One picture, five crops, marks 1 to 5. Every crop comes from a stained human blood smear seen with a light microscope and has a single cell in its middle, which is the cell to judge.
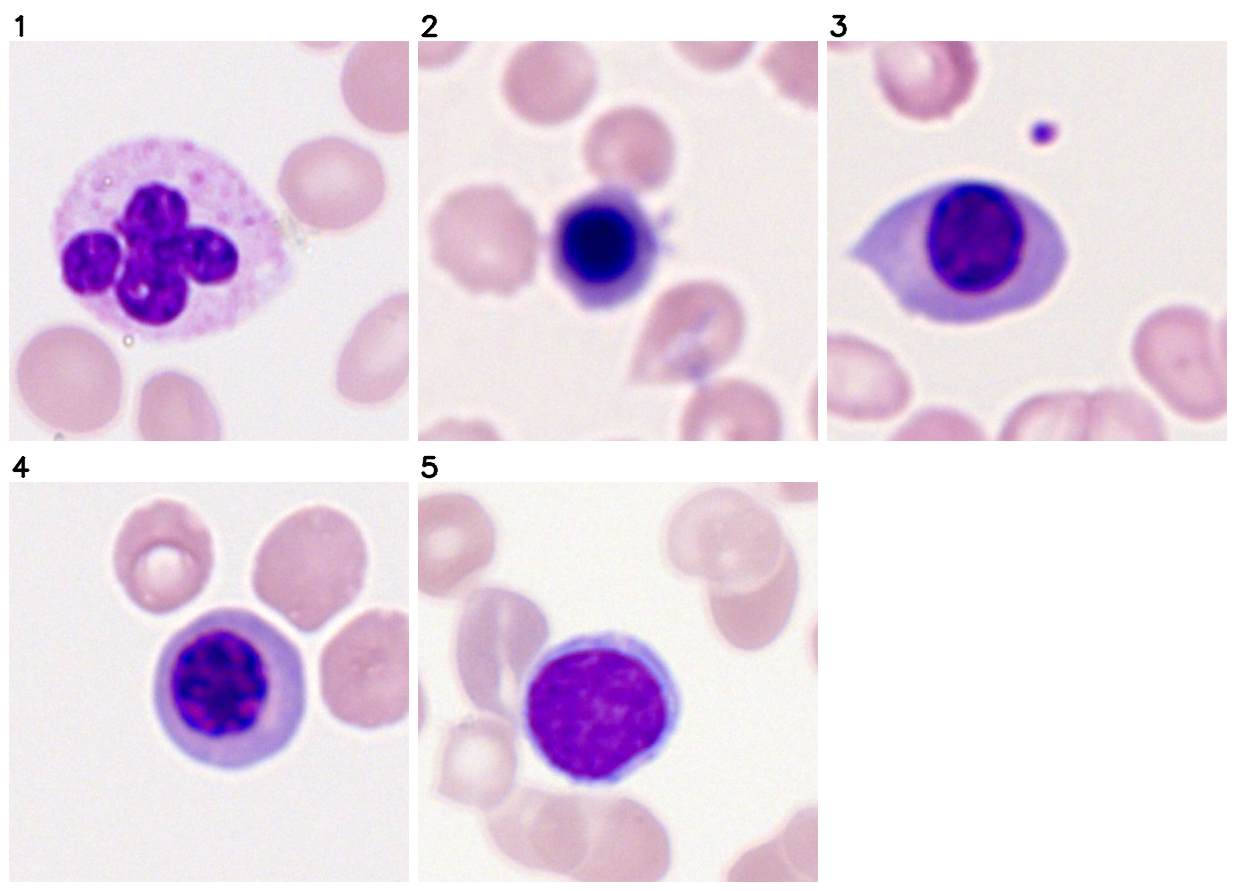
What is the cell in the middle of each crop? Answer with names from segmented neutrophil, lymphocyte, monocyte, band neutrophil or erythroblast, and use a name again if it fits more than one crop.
1: segmented neutrophil
2: erythroblast
3: erythroblast
4: erythroblast
5: lymphocyte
